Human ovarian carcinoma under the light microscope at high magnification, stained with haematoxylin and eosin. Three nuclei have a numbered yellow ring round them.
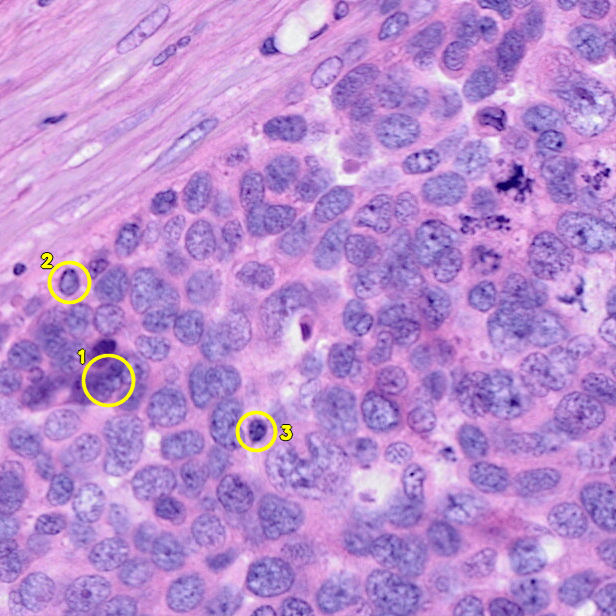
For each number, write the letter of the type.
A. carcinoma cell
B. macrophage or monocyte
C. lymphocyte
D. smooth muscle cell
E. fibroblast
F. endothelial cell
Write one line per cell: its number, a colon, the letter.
1: A
2: B
3: C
